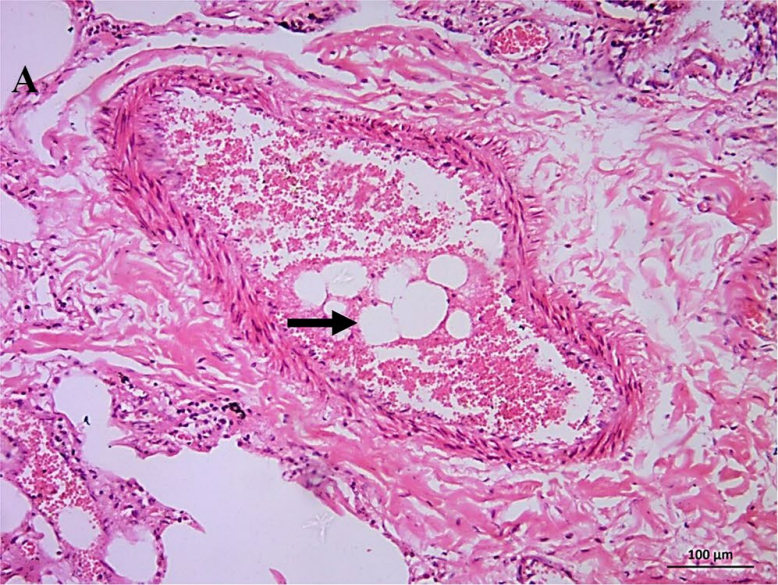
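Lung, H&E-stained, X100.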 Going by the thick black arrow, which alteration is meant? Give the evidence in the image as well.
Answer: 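Fat emboli. A cluster of round, clear, empty spaces of varying size lies inside the vessel lumen. The clear spaces sit among the red blood cells filling the lumen.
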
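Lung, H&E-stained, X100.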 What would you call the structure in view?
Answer: Medium size pulmonary artery.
